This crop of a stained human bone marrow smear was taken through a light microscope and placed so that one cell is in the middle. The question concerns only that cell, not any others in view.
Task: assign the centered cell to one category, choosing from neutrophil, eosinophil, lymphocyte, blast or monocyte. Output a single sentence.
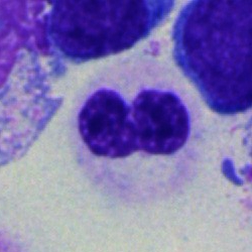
Among the cells in view, the one in the middle is a neutrophil.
